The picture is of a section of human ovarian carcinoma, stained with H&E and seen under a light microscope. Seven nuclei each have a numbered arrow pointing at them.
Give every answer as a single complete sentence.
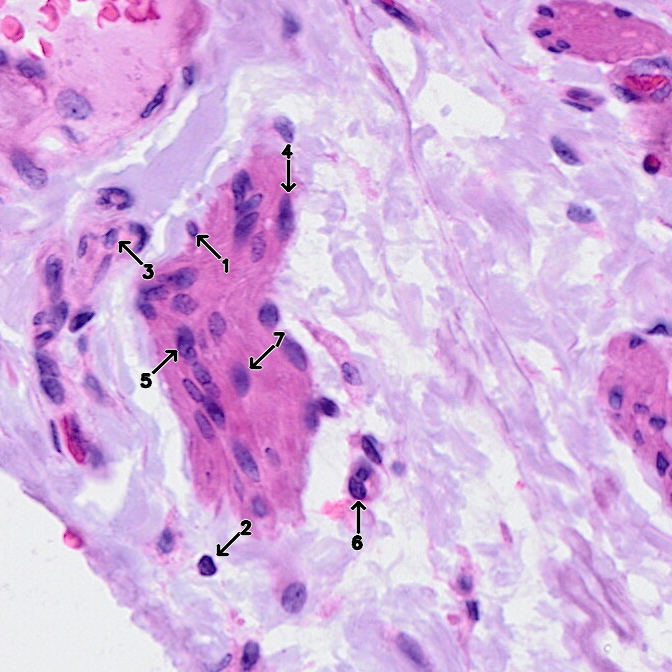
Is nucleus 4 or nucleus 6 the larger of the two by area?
Nucleus 4 is larger, with an area about 2.5 times that of nucleus 6.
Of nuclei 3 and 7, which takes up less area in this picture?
It is nucleus 3; nucleus 7 has about 2 times its area.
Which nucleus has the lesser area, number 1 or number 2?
Nucleus 1 covers less area, with nucleus 2 about 4 times as large.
